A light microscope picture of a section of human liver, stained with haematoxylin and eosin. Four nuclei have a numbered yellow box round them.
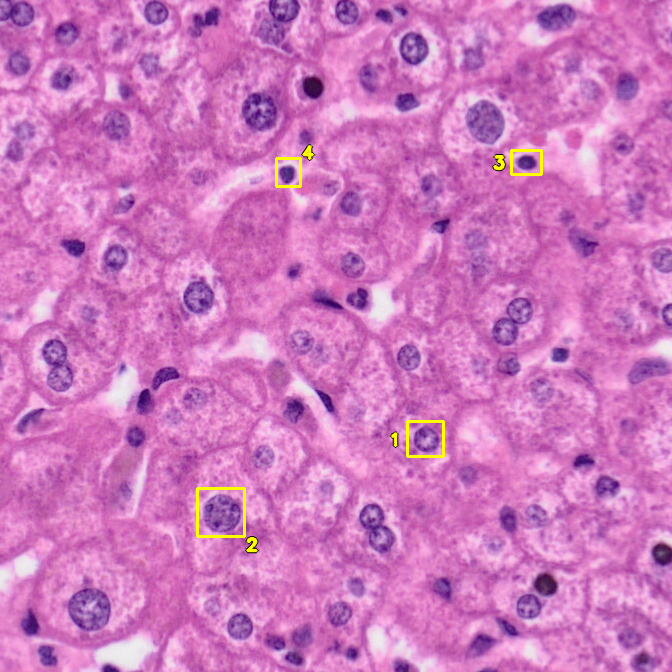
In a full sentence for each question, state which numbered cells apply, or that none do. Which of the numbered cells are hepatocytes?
Into the category of hepatocytes fall the cells numbered 1 and 2.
